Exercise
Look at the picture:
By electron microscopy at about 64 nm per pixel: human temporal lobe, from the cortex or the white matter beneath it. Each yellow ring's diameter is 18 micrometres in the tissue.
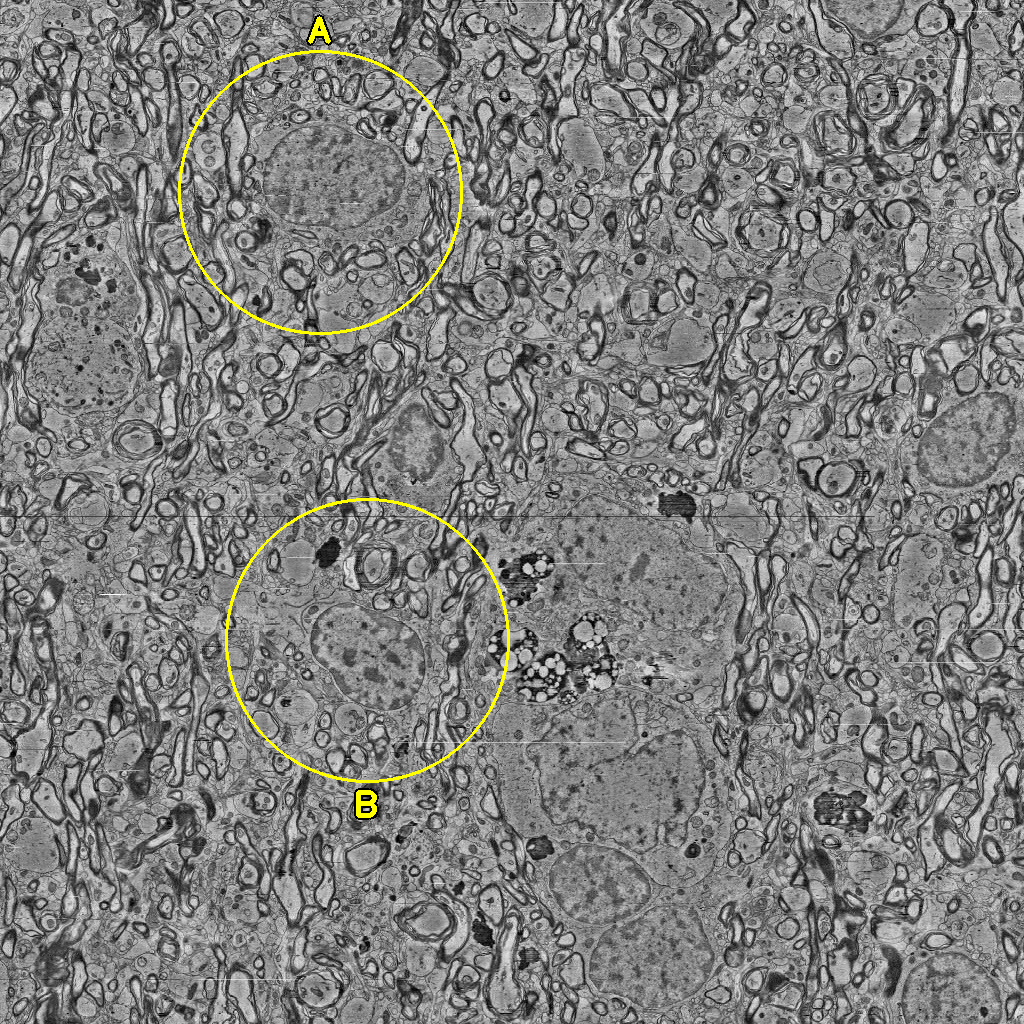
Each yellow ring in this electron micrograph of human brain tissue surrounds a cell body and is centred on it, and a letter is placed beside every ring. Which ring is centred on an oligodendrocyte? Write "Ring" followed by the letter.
Ring A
